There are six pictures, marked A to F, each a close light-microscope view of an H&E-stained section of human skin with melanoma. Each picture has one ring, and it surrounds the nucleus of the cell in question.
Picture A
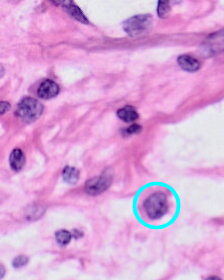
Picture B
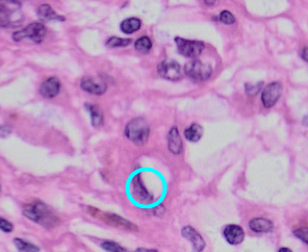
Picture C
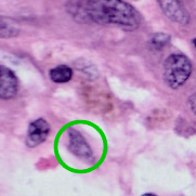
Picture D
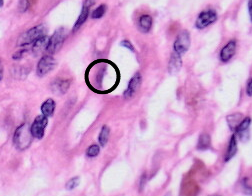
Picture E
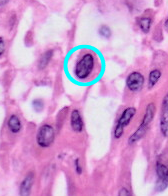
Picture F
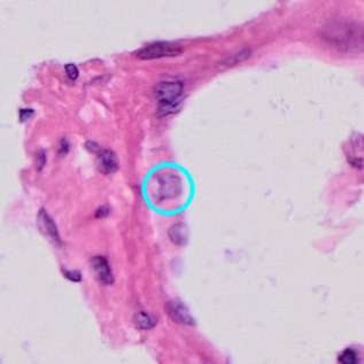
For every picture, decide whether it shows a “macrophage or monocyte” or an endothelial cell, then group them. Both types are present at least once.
A: macrophage or monocyte
B: endothelial cell
C: macrophage or monocyte
D: endothelial cell
E: macrophage or monocyte
F: endothelial cell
